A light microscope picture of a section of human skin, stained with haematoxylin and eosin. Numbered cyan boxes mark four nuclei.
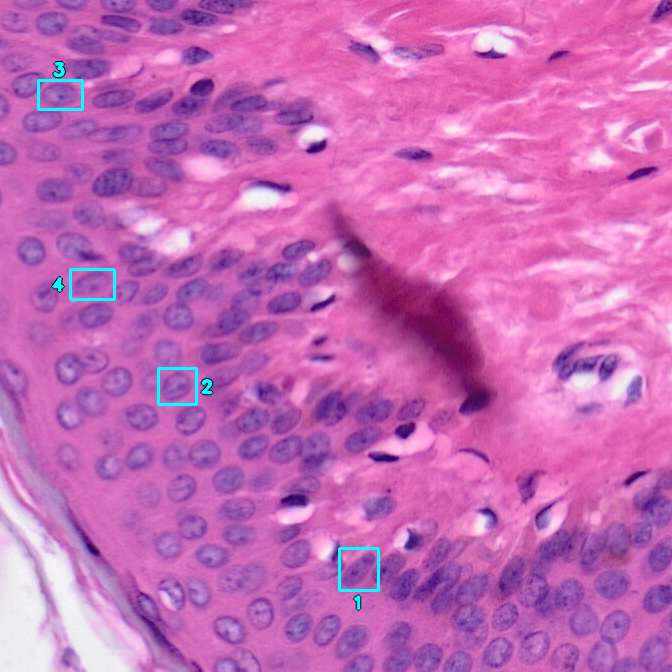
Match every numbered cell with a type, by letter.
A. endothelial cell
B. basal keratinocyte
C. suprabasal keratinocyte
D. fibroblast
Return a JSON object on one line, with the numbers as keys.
{"1": "B", "2": "C", "3": "C", "4": "C"}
